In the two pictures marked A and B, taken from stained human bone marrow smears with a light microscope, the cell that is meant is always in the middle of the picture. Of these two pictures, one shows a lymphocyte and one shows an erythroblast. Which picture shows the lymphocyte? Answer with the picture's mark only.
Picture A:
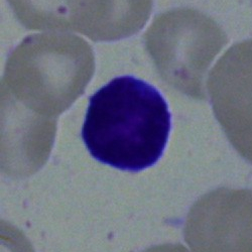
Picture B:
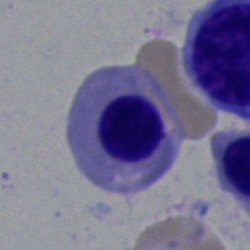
A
